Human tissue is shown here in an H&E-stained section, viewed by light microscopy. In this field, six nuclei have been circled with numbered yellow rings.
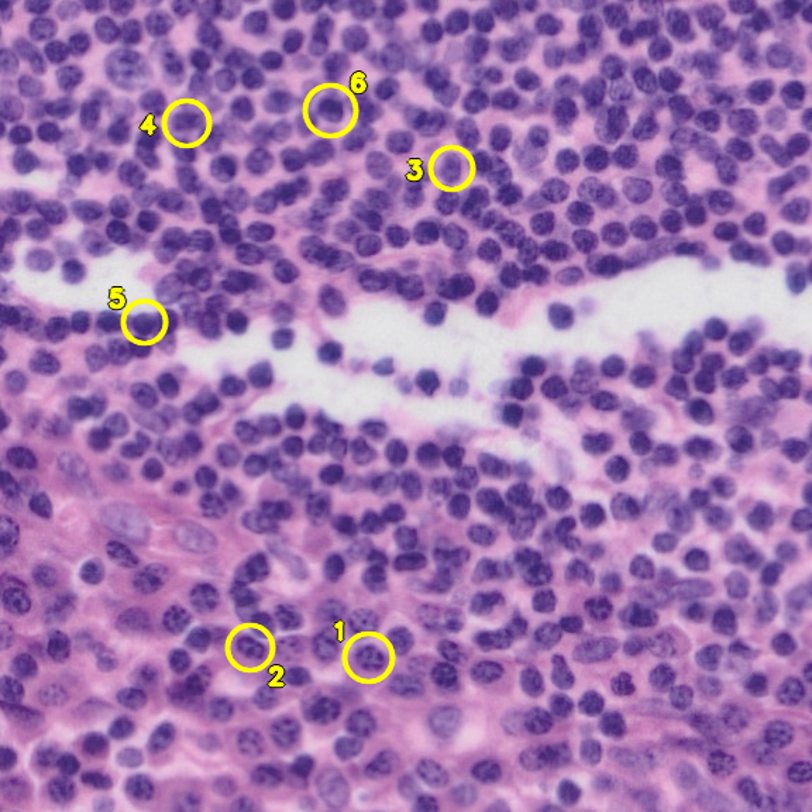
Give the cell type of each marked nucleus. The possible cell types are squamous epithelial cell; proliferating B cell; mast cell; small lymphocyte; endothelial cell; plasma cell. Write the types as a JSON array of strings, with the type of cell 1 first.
["plasma cell", "plasma cell", "small lymphocyte", "small lymphocyte", "small lymphocyte", "small lymphocyte"]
